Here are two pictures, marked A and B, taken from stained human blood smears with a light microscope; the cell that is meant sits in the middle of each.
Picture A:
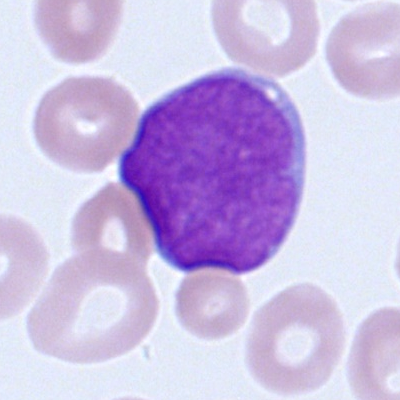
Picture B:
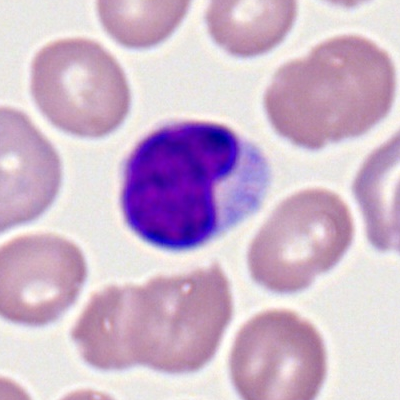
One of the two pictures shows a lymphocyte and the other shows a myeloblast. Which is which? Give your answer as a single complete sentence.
Picture B shows a lymphocyte, while picture A shows a myeloblast.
